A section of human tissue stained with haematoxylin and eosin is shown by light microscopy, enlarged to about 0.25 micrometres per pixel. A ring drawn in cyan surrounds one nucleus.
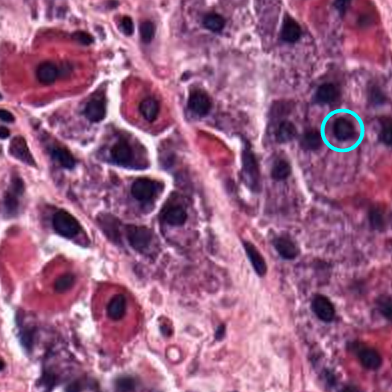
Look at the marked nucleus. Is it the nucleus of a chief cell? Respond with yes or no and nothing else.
yes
